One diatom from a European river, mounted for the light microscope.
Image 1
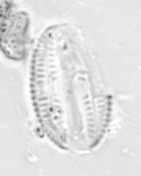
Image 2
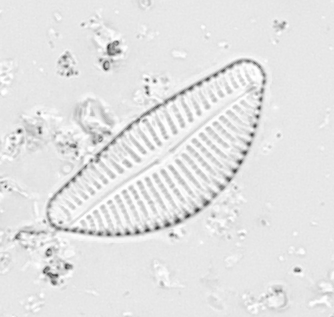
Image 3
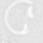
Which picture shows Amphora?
Picture 1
